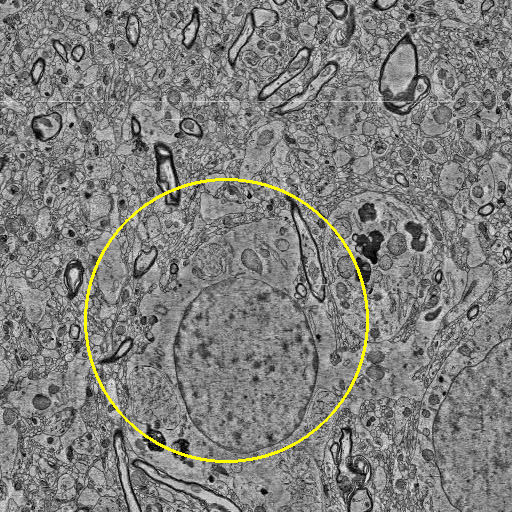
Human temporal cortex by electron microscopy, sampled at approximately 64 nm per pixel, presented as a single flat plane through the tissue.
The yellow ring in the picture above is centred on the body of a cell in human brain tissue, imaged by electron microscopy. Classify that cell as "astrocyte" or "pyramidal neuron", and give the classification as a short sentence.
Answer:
The cell in the middle of the ring is an astrocyte.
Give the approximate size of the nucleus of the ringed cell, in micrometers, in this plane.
In this plane the nucleus measures roughly 12 by 9 micrometres.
